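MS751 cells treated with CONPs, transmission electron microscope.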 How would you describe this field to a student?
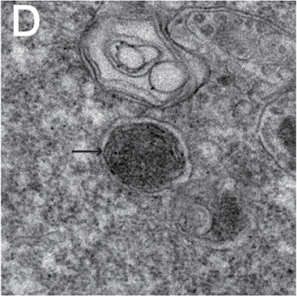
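Cytoplasm of a cultured cell with membrane-bound vacuoles. At the top a vacuole with several concentric membranes encloses two smaller round vesicles. Below it, indicated by an arrow, a round body bounded by a membrane is filled with dense, granular material.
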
